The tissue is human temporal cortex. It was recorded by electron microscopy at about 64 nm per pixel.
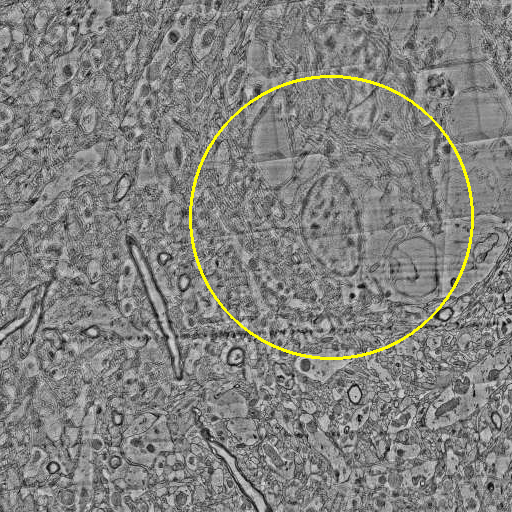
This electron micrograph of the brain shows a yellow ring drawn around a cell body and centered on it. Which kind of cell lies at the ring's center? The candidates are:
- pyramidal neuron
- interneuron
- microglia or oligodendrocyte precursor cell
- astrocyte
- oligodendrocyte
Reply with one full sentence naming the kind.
The cell lying at the ring's center in this micrograph is a microglial cell or oligodendrocyte precursor cell.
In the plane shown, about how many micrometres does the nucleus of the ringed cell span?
In this plane, about 6 by 4 micrometres: the nucleus is clearly longer than it is wide.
